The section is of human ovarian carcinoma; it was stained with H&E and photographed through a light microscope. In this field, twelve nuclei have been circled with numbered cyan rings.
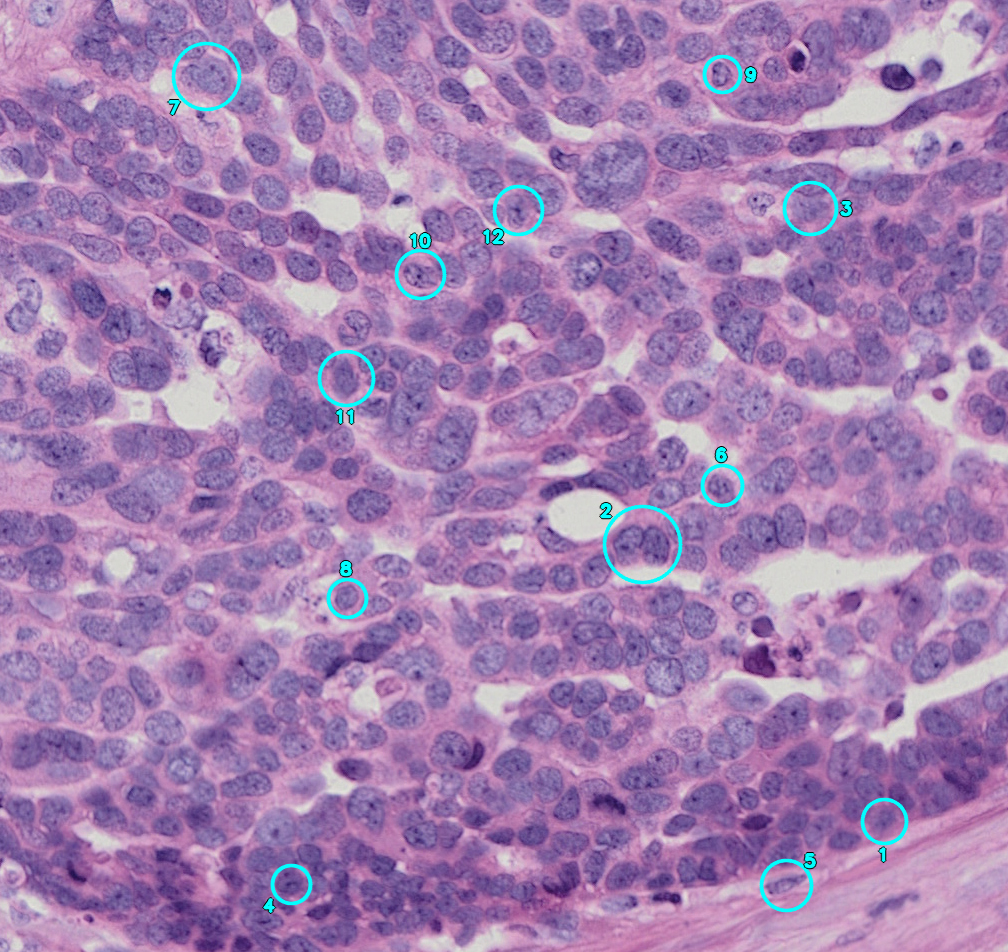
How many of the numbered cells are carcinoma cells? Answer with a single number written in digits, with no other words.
7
